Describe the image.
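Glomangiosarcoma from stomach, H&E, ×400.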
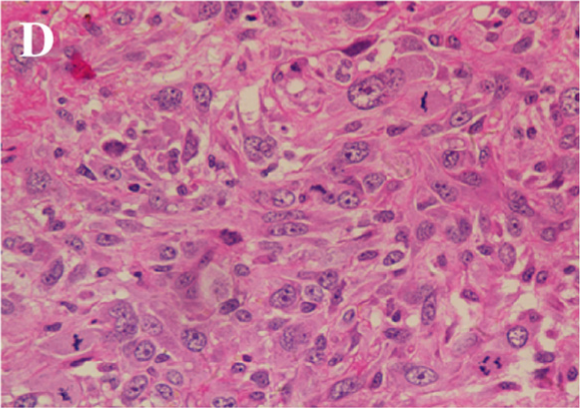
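Sheets of pleomorphic tumor cells with pink cytoplasm lie in a fibrillary pink stroma. Their nuclei are enlarged, oval to irregular, with vesicular chromatin and distinct nucleoli, and vary markedly in size. Several dark, clumped mitotic figures are scattered among the cells.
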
